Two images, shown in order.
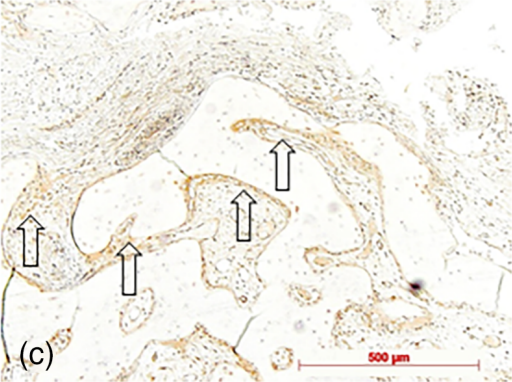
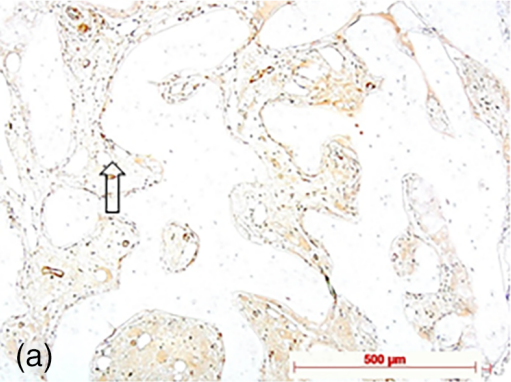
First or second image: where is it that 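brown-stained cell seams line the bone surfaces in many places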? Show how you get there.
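The first image. First image: distinct brown bands run along several bone margins. Second image: bone margins are mostly unstained, with only faint brown at a few spots.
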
